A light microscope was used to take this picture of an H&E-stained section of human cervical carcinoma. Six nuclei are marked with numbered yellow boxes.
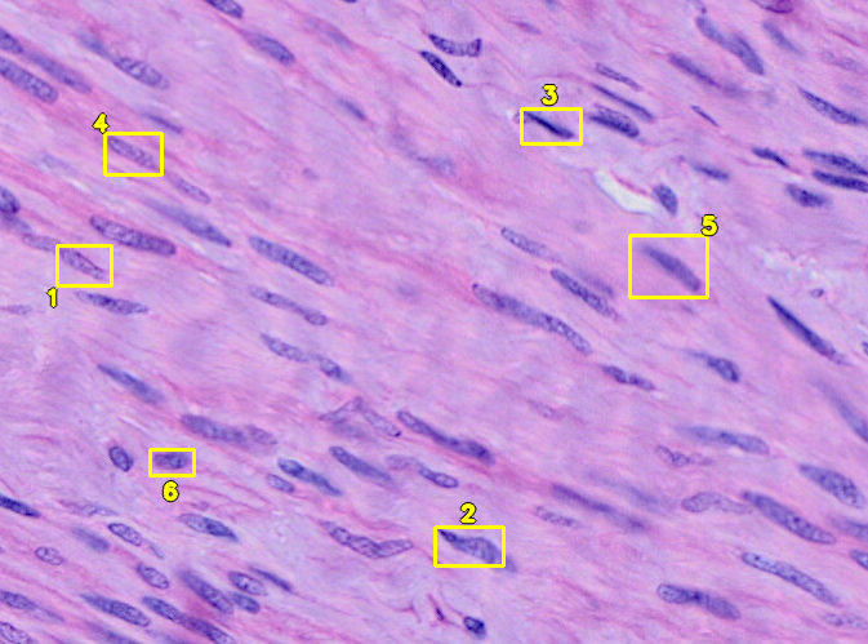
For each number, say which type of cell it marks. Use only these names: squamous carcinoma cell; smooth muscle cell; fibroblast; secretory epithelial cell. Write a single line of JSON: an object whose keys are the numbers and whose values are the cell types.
{"1": "smooth muscle cell", "2": "fibroblast", "3": "fibroblast", "4": "smooth muscle cell", "5": "fibroblast", "6": "smooth muscle cell"}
